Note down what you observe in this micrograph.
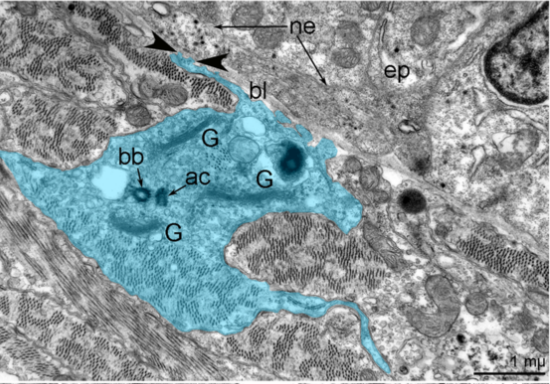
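The shaded cell body is irregular and contains a basal body with an accessory centriole and several stacked Golgi complexes. A long slender process extends from the cell, and another runs along the basal lamina, swelling into small bulbs. Across the basal lamina lie nerve fibers in the epidermis. The surrounding muscle cells are packed with myofilaments cut in various planes.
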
